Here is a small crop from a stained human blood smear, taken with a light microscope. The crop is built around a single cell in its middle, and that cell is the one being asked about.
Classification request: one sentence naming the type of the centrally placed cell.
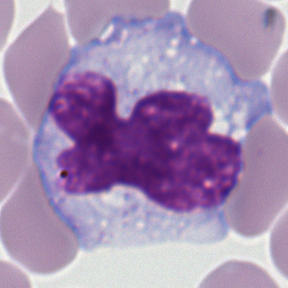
The cell at the heart of this crop is a monocyte.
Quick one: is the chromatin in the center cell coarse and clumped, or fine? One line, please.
The nuclear chromatin is fine, showing no coarse aggregates.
